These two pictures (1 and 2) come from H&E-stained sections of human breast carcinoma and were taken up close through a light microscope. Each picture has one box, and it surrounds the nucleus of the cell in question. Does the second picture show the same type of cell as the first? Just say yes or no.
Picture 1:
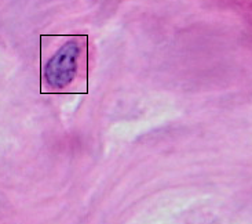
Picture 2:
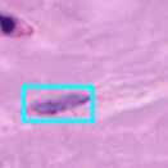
no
